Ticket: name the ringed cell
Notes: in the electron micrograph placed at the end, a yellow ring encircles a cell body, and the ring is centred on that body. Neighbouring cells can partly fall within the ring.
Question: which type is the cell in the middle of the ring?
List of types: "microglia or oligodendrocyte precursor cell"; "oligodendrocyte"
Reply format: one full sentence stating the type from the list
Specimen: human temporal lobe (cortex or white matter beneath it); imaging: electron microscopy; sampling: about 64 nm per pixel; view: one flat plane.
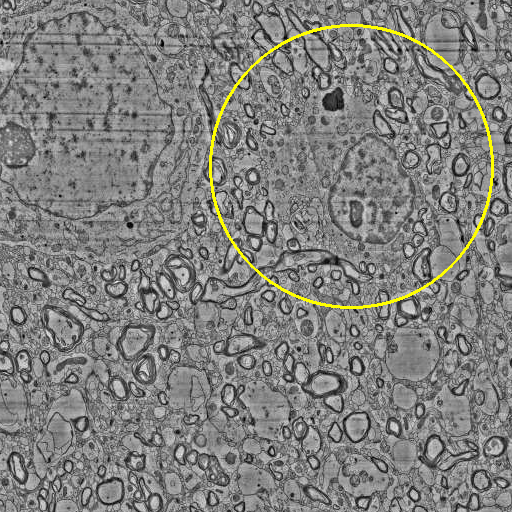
The cell sitting at the centre of the yellow ring is an oligodendrocyte.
